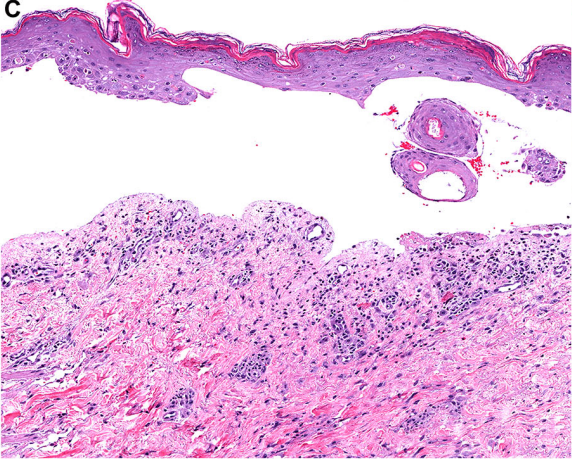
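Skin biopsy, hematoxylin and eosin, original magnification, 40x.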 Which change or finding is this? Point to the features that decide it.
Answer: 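The epidermis lies as a separate strip above the dermis. An empty space separates the epidermis from the underlying dermis. On this evidence: epidermal detachment.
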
